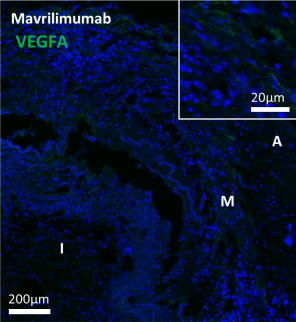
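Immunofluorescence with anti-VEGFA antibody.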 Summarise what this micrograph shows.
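This is a cross-section of an artery wall with its inner, middle and outer layers, crossed by a thin, wavy bright blue line. Many blue nuclei are densely packed, above all in the thick inner layer and in the outer area, and little green is to be seen.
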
